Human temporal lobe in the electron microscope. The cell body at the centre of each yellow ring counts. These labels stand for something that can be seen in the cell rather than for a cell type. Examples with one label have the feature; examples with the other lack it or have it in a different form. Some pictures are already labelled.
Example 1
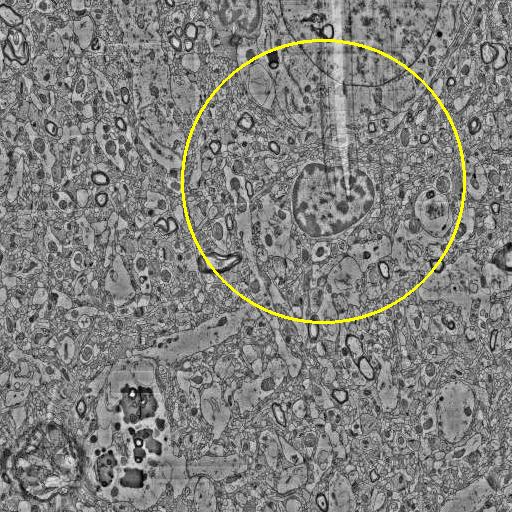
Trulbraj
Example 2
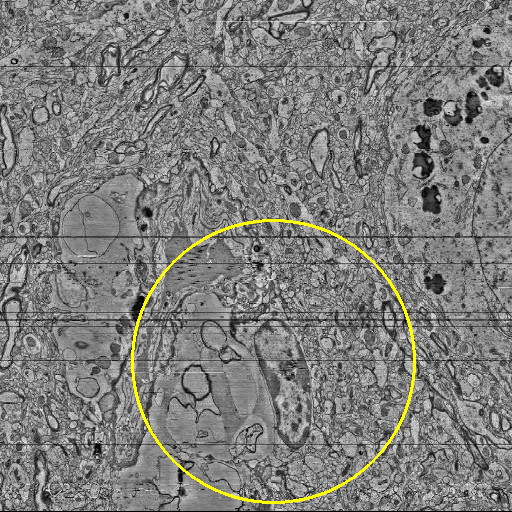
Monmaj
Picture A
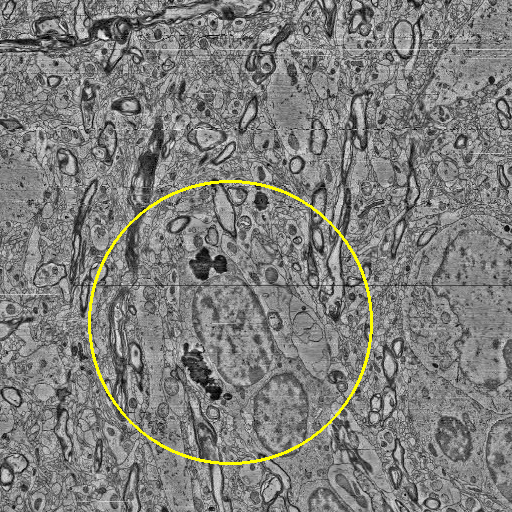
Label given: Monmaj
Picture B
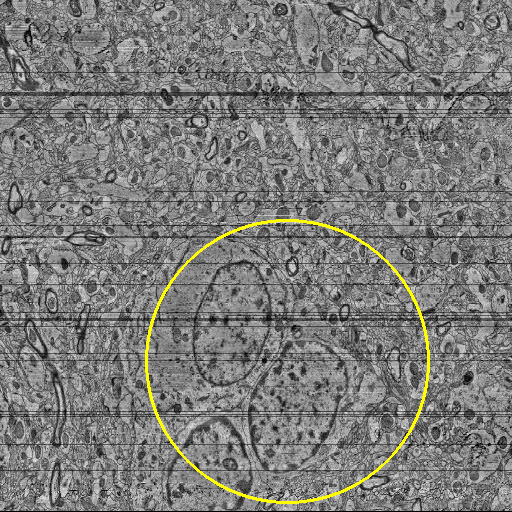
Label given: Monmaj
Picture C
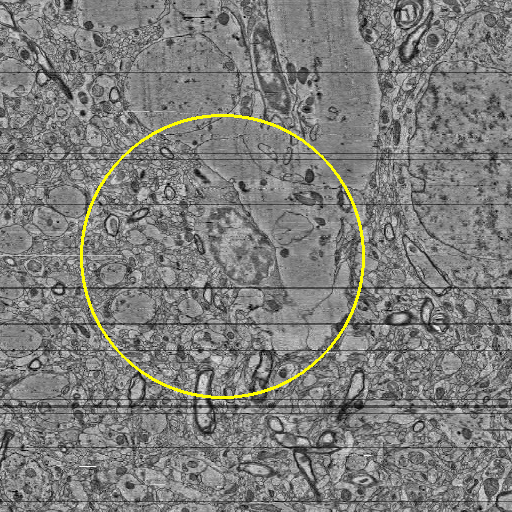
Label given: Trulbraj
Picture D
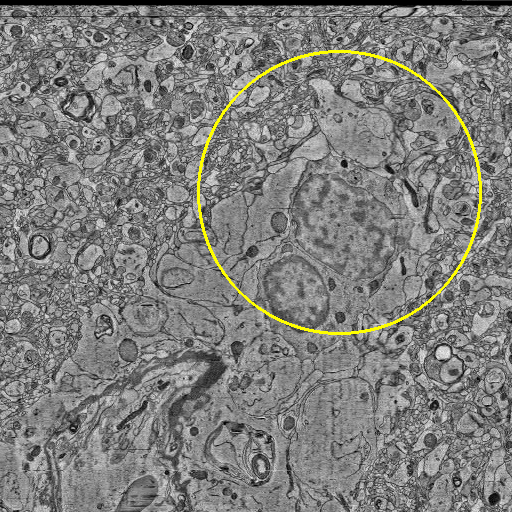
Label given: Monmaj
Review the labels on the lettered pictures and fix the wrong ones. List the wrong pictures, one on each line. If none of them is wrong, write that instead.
C: not Trulbraj but Monmaj
D: not Monmaj but Trulbraj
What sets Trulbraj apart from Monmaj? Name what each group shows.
In Trulbraj: round or nearly round nuclei. In Monmaj: clearly elongated nuclei.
